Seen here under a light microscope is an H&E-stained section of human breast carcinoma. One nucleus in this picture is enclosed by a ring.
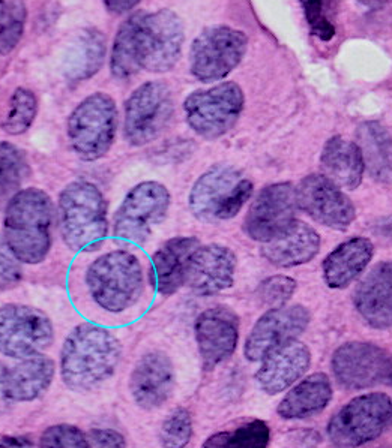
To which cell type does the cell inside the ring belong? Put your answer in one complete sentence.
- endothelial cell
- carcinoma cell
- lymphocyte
In the tissue under study, the cell inside the ring is a carcinoma cell.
